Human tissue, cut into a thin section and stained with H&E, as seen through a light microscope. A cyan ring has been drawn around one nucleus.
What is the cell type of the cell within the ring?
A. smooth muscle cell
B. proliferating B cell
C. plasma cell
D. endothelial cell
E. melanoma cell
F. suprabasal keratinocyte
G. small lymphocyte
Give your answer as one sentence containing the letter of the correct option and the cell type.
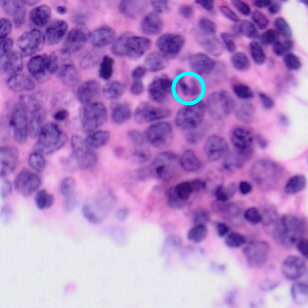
Option B is the right choice, for the cell within the ring is a proliferating B cell.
